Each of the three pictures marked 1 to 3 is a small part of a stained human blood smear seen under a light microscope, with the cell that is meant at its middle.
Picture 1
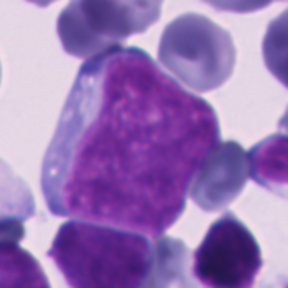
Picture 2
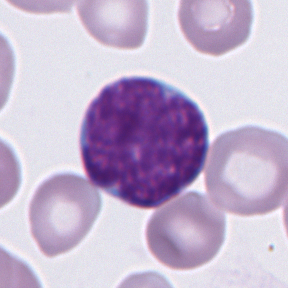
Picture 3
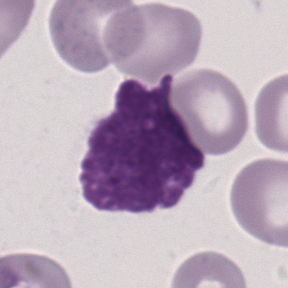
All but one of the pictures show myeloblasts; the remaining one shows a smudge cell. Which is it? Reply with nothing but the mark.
3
